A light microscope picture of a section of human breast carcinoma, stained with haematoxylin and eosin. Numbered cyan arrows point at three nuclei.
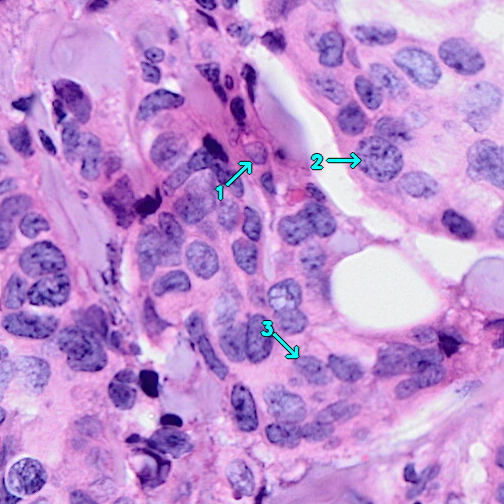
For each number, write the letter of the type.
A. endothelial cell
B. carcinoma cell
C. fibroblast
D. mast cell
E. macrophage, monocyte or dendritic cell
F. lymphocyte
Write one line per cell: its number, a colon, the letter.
1: A
2: B
3: B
